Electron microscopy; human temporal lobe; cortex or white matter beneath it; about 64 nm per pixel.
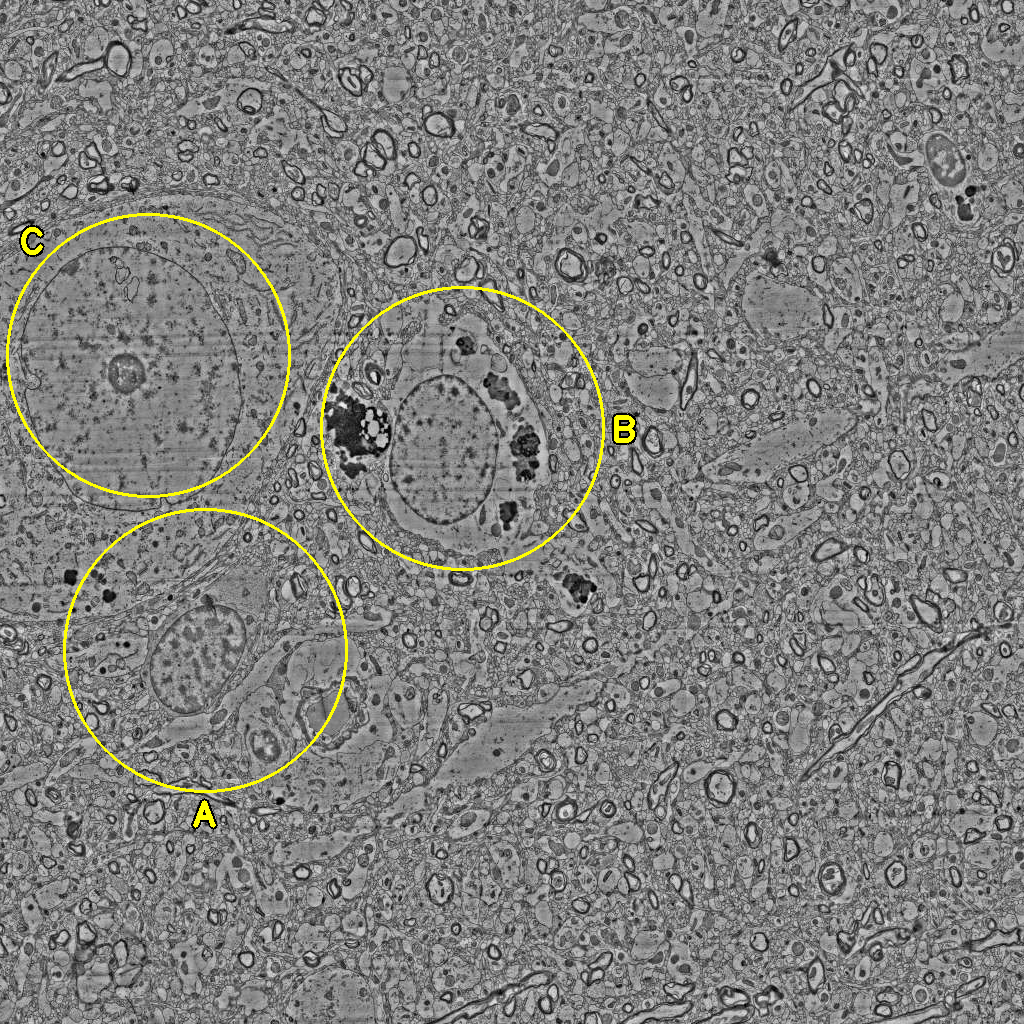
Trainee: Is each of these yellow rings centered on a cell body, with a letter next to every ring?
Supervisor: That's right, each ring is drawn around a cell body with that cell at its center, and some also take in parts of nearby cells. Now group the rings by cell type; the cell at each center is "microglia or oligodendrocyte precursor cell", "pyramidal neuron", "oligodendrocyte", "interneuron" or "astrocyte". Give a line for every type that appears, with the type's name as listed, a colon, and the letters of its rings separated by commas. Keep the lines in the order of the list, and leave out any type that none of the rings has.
pyramidal neuron: C
oligodendrocyte: A
astrocyte: B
